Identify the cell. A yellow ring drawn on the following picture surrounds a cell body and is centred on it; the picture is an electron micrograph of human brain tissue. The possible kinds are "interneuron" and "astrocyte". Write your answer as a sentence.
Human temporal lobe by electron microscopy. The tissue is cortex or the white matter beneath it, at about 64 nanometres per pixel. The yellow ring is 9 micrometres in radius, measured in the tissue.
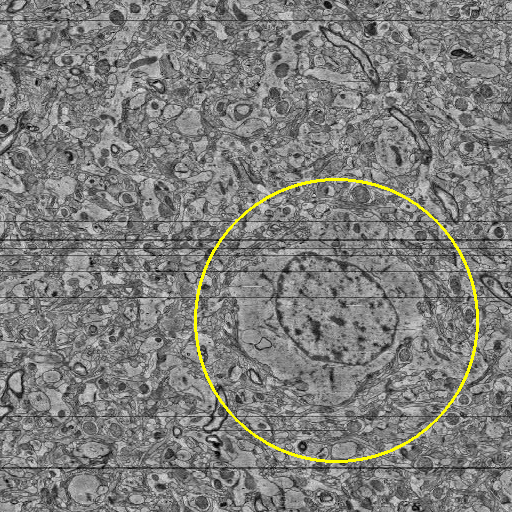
The cell identified by the ring is an astrocyte.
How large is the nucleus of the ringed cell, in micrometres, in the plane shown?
In this plane, about 8 micrometres in length and 7 in width.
